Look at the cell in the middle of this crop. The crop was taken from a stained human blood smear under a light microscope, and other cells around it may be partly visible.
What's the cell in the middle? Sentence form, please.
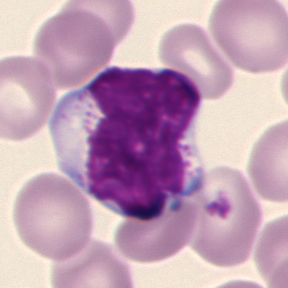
Positioned in the middle of the crop is a large granular lymphocyte.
